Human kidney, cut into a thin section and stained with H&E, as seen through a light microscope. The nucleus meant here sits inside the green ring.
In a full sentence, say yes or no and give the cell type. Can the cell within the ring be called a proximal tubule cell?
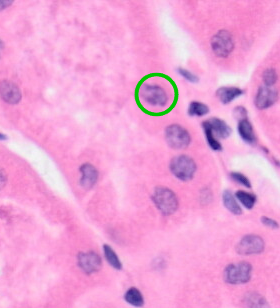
Yes, it is a proximal tubule cell that the cell within the ring is.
